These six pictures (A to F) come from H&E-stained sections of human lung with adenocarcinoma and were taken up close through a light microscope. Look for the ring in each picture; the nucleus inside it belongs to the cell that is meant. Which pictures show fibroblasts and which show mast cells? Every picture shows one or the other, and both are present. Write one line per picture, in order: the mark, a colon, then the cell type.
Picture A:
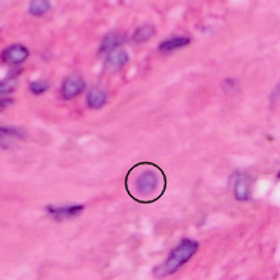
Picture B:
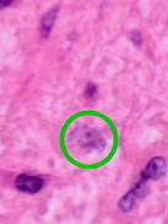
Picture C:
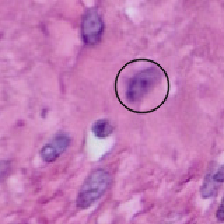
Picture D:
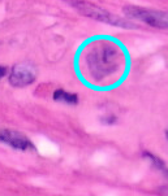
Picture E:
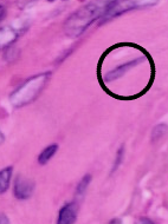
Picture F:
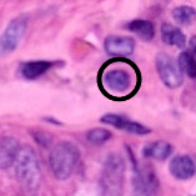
A: mast cell
B: fibroblast
C: fibroblast
D: fibroblast
E: fibroblast
F: mast cell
